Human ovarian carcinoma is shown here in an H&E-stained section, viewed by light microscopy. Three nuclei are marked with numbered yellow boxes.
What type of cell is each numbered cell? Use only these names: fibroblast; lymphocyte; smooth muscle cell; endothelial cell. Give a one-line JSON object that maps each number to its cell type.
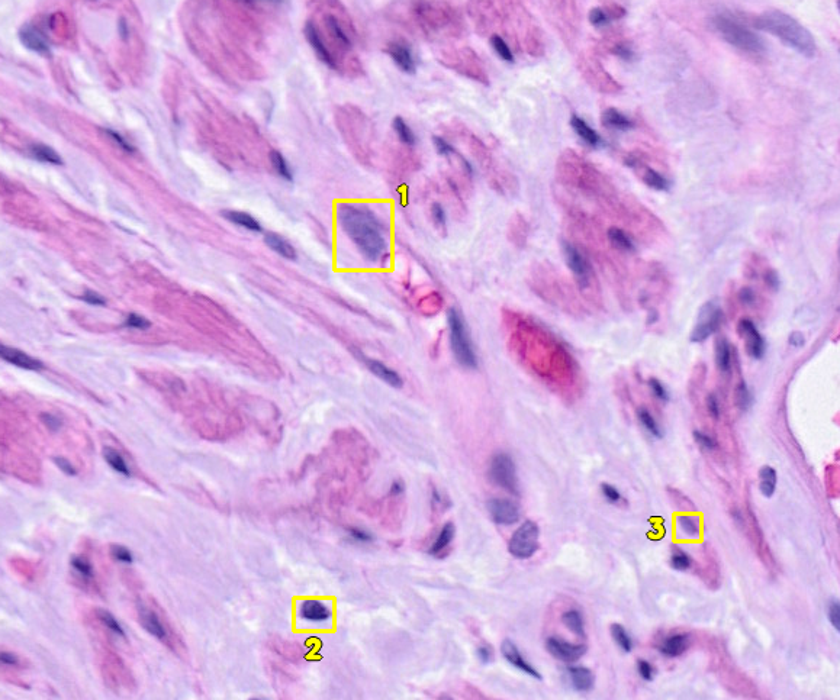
{"1": "endothelial cell", "2": "lymphocyte", "3": "smooth muscle cell"}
